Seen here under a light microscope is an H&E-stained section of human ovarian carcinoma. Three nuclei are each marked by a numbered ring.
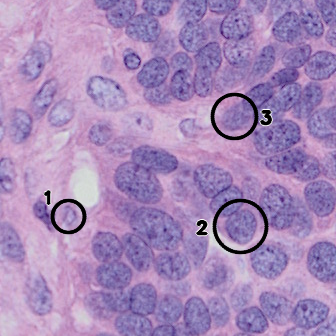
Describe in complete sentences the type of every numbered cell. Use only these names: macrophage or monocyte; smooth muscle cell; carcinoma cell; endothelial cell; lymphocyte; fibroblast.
Cell 1 is a fibroblast. Cells 2 and 3 are carcinoma cells.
